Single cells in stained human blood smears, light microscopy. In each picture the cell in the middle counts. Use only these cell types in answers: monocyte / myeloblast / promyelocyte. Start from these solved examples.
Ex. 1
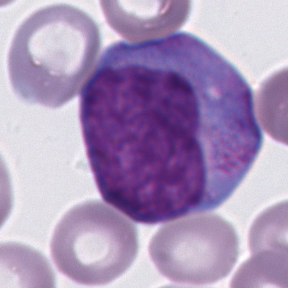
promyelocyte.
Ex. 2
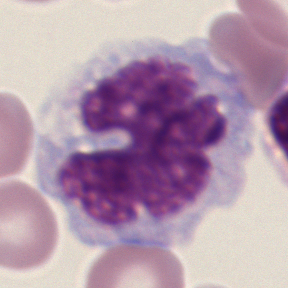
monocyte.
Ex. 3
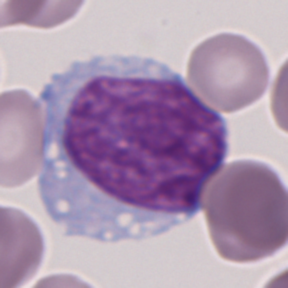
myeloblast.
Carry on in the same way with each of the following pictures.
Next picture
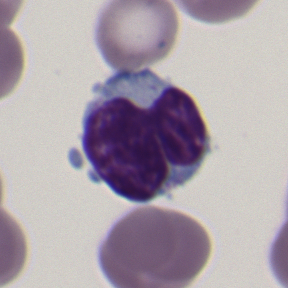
monocyte.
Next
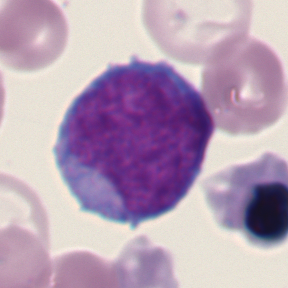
myeloblast.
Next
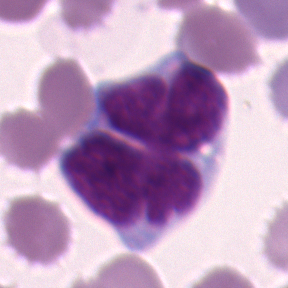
monocyte.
